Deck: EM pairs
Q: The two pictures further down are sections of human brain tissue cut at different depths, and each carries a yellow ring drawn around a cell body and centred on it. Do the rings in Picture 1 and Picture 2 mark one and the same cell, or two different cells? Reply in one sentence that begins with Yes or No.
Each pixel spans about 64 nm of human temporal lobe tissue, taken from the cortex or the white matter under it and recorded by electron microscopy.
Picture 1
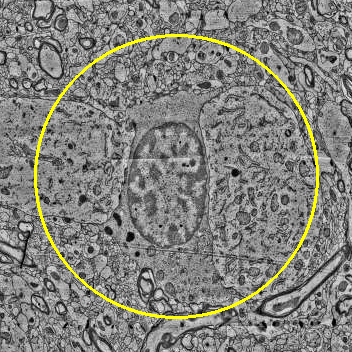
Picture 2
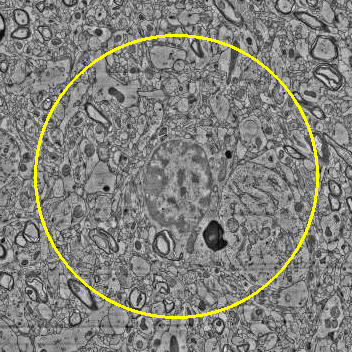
Yes, each ring singles out the same cell.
